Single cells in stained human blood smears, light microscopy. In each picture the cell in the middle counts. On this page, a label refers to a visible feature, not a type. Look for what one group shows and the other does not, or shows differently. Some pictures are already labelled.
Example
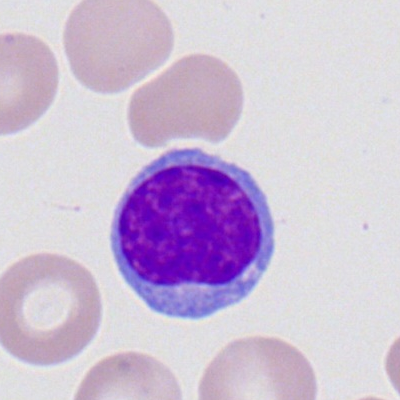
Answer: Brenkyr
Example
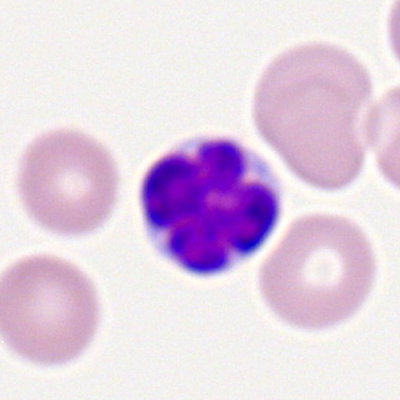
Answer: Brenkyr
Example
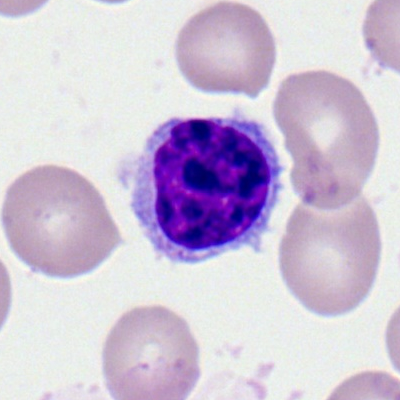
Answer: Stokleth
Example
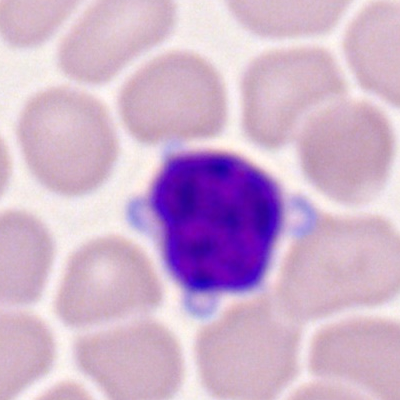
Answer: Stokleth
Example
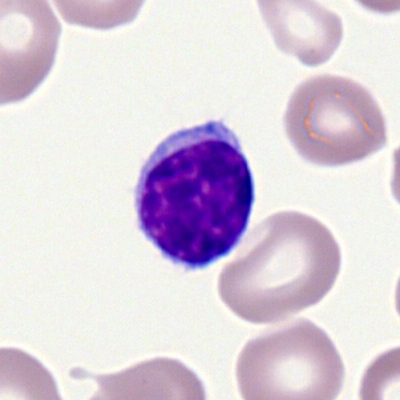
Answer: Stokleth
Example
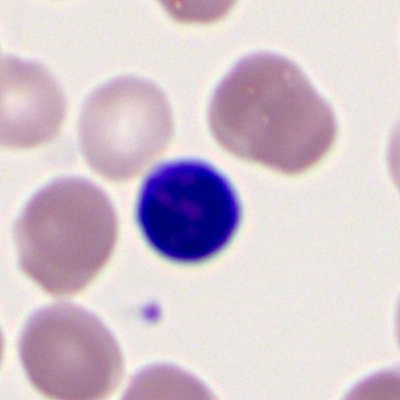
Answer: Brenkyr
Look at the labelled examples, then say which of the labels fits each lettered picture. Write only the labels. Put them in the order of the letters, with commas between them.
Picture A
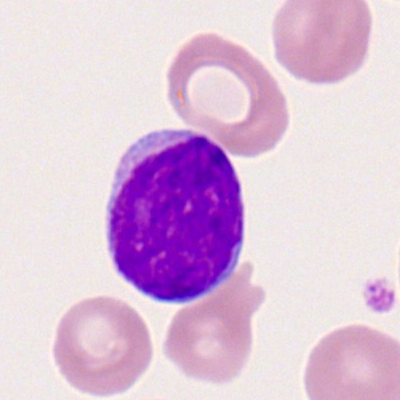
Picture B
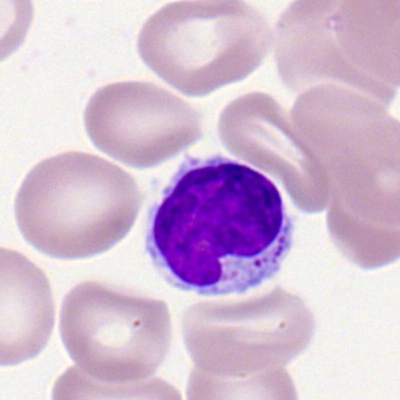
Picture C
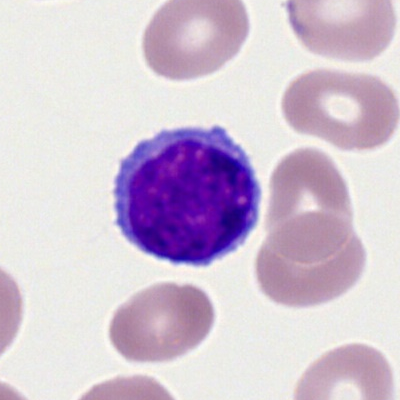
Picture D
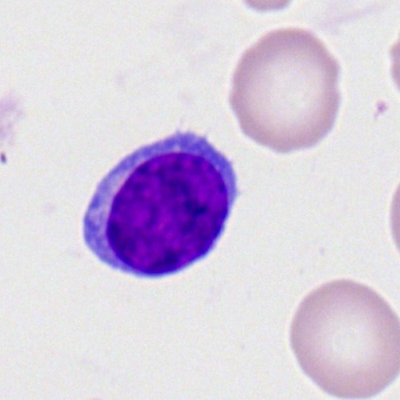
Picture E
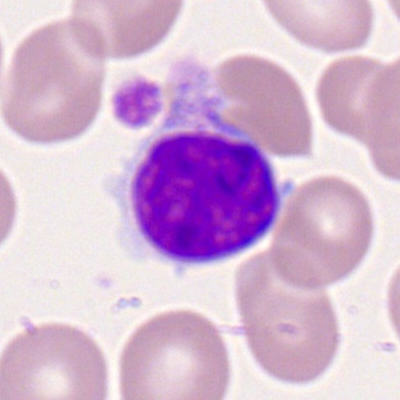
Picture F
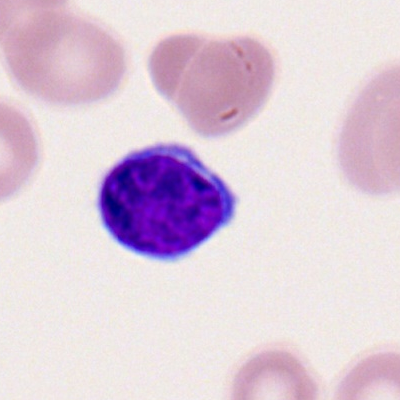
Brenkyr, Stokleth, Stokleth, Stokleth, Stokleth, Brenkyr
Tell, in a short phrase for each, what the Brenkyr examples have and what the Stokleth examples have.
Brenkyr, smooth outline; Stokleth, ragged outline or projections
